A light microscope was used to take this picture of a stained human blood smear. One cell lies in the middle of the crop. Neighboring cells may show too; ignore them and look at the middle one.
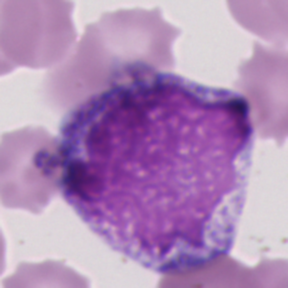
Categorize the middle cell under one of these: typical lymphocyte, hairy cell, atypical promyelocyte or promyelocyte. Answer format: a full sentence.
In the crop, the cell of interest at the centre is a promyelocyte.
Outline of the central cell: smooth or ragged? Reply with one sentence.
Seen at its edge, the cell is not smooth but ragged or projecting.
